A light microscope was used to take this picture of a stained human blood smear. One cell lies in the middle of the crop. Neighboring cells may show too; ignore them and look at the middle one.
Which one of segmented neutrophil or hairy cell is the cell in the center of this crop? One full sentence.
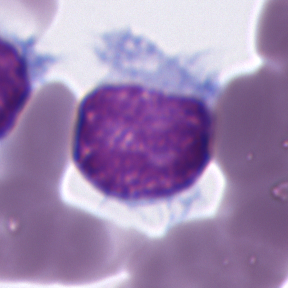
The cell featured at the centre of this crop is a hairy cell.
